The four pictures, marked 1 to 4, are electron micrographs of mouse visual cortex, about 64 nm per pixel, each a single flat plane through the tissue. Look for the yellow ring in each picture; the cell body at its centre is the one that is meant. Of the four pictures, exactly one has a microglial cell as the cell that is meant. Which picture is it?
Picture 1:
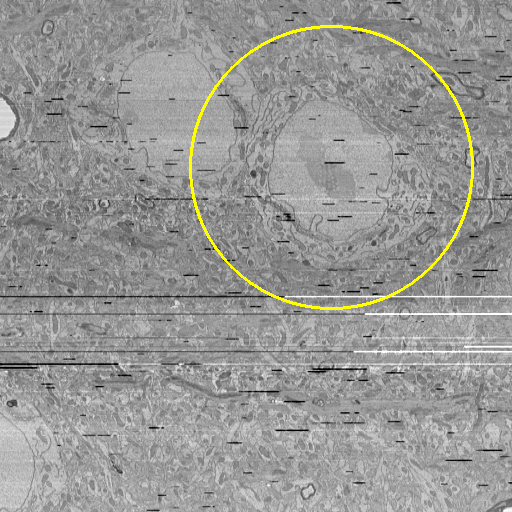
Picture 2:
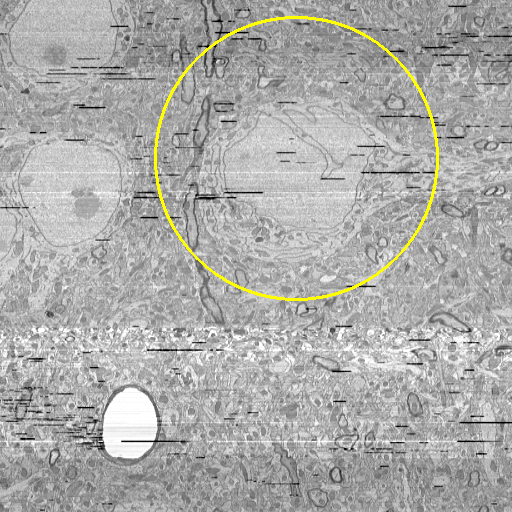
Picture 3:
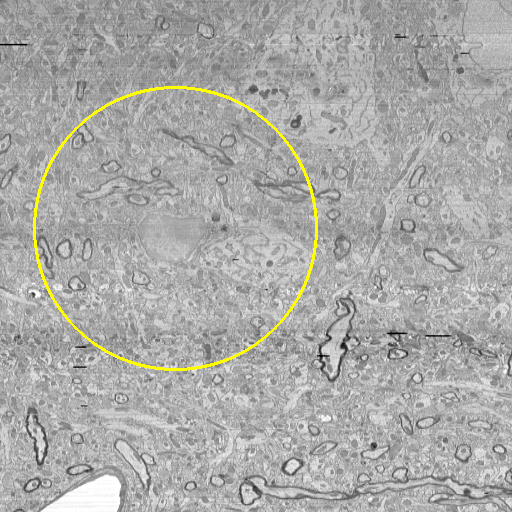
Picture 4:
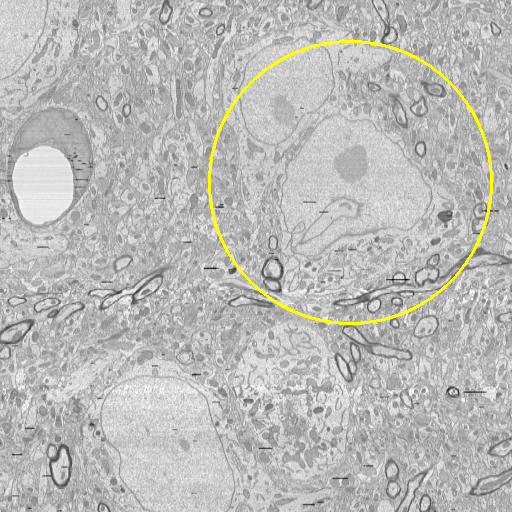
Picture 3 is the one that shows the microglial cell.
